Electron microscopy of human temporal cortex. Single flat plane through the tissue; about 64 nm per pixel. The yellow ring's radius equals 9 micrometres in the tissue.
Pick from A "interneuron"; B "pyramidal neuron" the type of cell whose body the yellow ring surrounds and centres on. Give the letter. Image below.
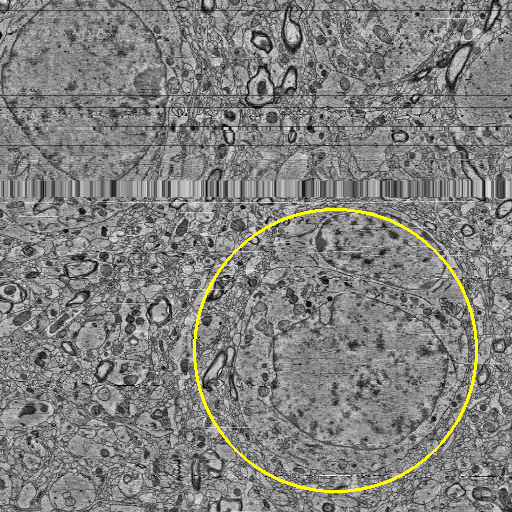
A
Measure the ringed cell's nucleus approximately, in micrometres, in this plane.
The nucleus of the ringed cell is approximately 11 micrometres across in this plane.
